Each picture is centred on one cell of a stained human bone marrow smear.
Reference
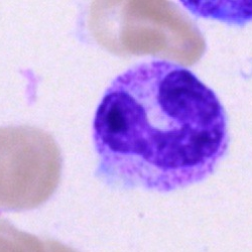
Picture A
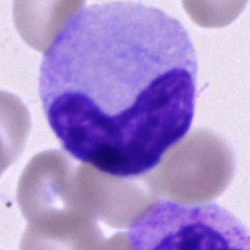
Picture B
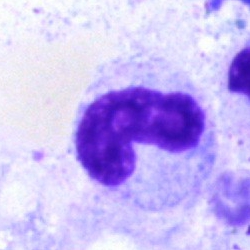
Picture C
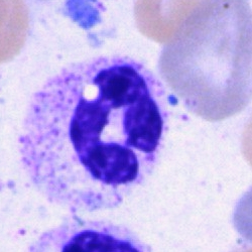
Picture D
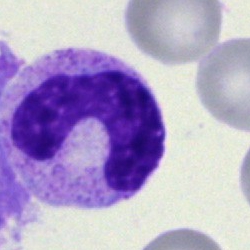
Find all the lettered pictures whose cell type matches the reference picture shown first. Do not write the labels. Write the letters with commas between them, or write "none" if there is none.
A, B, D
